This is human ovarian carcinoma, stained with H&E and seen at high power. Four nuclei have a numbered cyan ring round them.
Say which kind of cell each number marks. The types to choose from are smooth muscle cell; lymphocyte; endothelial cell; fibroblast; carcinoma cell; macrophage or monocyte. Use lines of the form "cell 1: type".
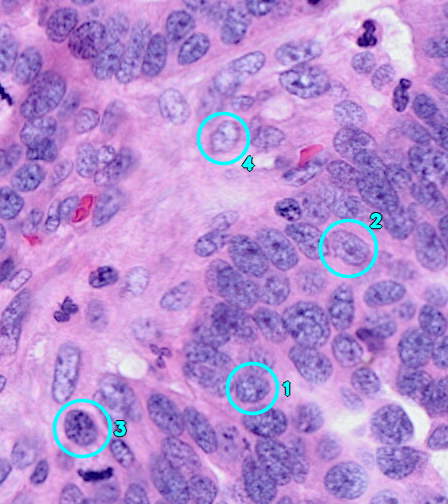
cell 1: carcinoma cell
cell 2: carcinoma cell
cell 3: macrophage or monocyte
cell 4: fibroblast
